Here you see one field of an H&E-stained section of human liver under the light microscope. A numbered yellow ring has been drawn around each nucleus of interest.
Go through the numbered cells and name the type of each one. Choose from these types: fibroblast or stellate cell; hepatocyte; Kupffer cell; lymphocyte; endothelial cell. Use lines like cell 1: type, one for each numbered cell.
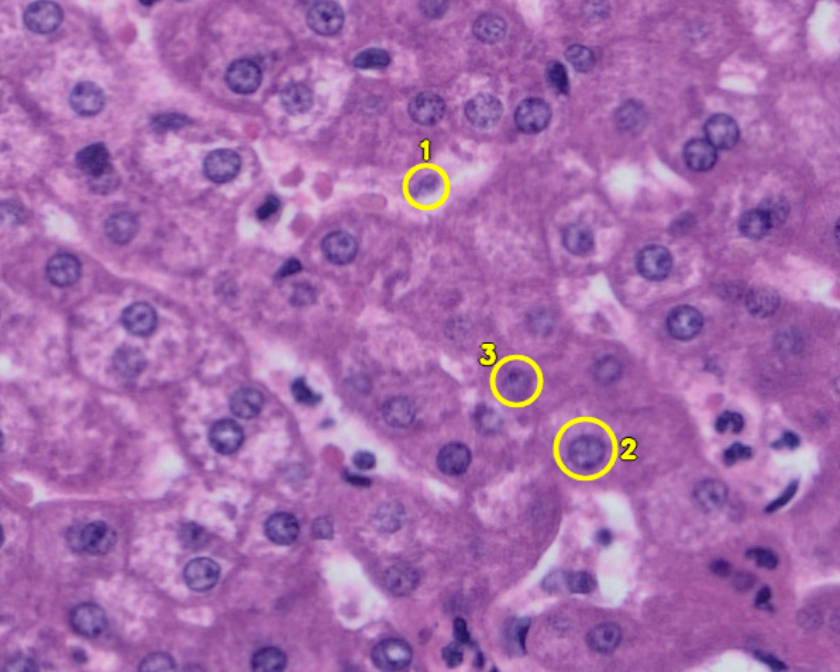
cell 1: Kupffer cell
cell 2: hepatocyte
cell 3: hepatocyte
